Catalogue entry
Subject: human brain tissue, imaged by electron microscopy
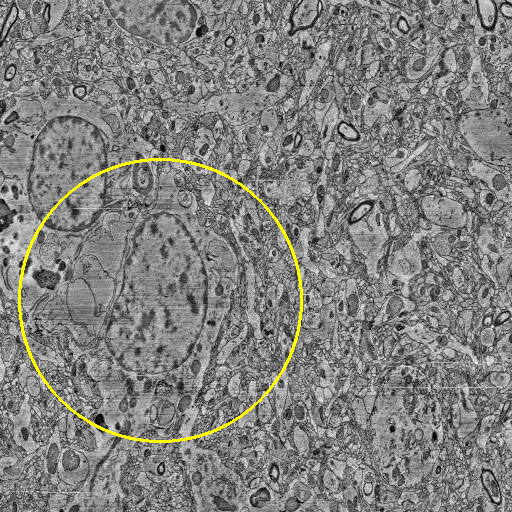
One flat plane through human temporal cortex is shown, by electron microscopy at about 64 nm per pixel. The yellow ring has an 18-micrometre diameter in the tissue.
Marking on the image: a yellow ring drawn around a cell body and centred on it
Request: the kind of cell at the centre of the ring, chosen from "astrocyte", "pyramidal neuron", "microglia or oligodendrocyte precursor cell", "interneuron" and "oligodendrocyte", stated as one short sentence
The ring has an astrocyte at its centre.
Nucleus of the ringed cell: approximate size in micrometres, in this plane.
Roughly 11 micrometres long and 6 micrometres wide; in this plane the nucleus is clearly longer than it is wide.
